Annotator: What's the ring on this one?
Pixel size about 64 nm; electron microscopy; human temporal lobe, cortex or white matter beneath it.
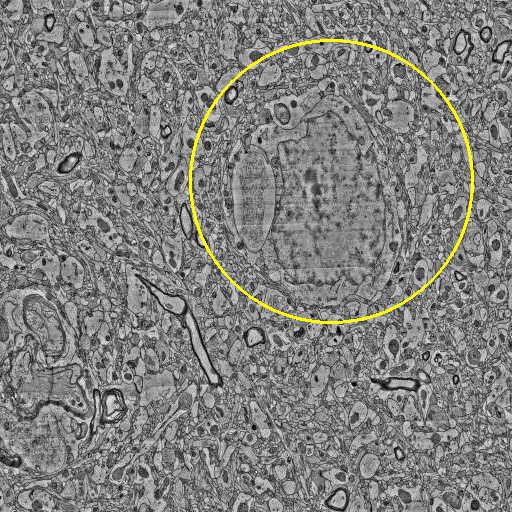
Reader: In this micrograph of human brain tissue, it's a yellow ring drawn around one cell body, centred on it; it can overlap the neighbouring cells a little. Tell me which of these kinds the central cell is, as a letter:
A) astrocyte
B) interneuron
B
